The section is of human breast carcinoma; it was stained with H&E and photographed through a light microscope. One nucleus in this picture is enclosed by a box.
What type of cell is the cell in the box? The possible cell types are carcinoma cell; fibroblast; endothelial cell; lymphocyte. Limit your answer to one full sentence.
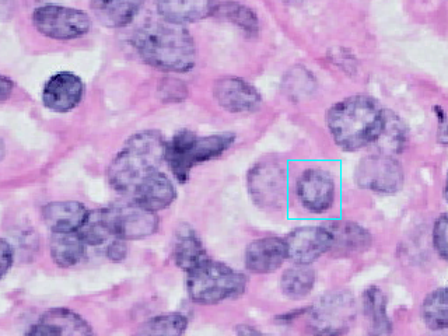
As classified here, the cell in the box is a carcinoma cell.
